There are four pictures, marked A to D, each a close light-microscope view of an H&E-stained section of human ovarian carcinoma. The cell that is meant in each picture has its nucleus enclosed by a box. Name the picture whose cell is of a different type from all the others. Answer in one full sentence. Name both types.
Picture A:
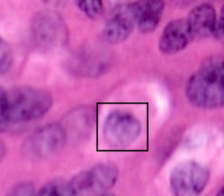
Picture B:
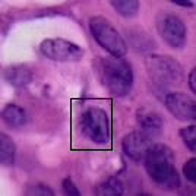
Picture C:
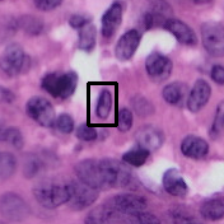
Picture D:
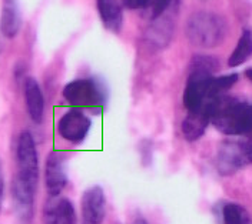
All pictures except D show “macrophages or monocytes”; picture D shows a carcinoma cell.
